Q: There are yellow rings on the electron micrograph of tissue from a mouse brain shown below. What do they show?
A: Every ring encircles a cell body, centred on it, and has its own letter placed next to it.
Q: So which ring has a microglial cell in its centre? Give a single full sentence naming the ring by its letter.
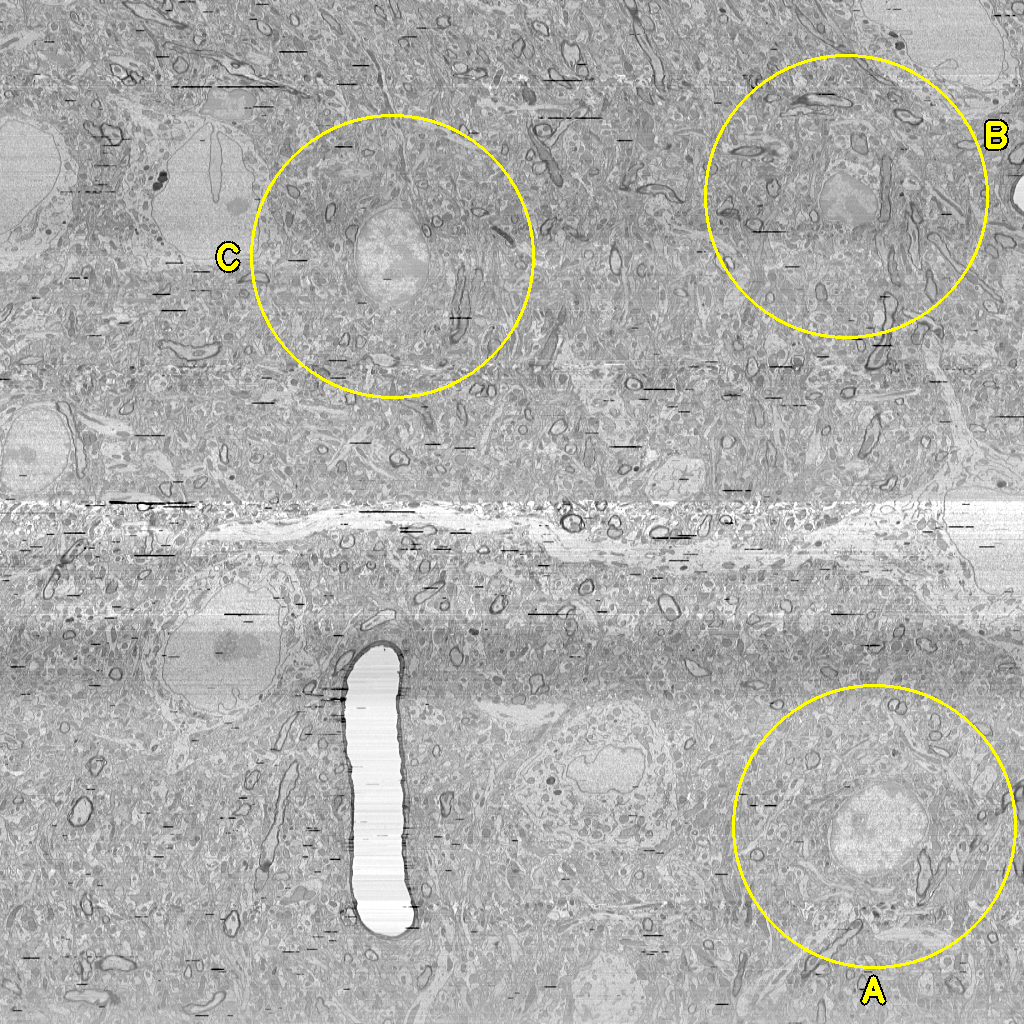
Ring B has the cell asked for at its centre in the picture.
